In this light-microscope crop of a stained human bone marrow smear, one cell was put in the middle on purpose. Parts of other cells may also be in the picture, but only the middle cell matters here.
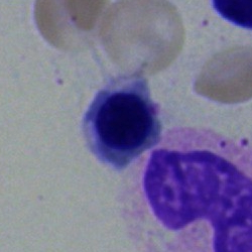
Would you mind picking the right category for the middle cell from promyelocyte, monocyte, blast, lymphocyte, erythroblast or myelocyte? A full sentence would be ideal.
The middle position in this crop is taken by an erythroblast.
